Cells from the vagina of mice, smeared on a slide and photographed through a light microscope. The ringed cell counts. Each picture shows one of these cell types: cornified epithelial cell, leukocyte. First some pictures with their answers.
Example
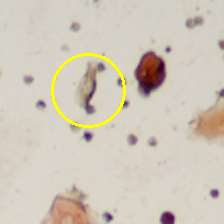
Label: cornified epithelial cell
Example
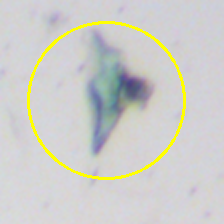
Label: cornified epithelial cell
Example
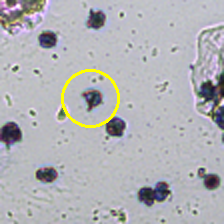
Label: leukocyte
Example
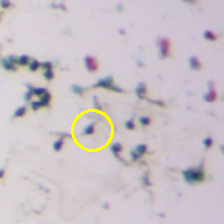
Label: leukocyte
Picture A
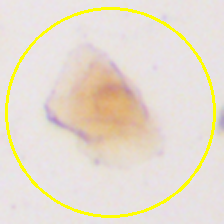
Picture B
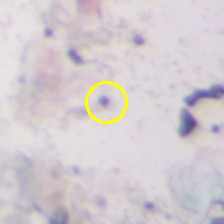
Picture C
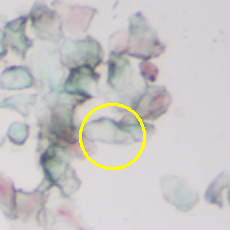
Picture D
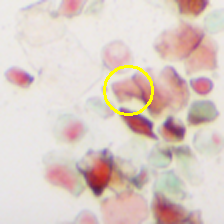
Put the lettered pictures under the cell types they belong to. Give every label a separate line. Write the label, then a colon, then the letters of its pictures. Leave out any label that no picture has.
cornified epithelial cell: A, C, D
leukocyte: B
